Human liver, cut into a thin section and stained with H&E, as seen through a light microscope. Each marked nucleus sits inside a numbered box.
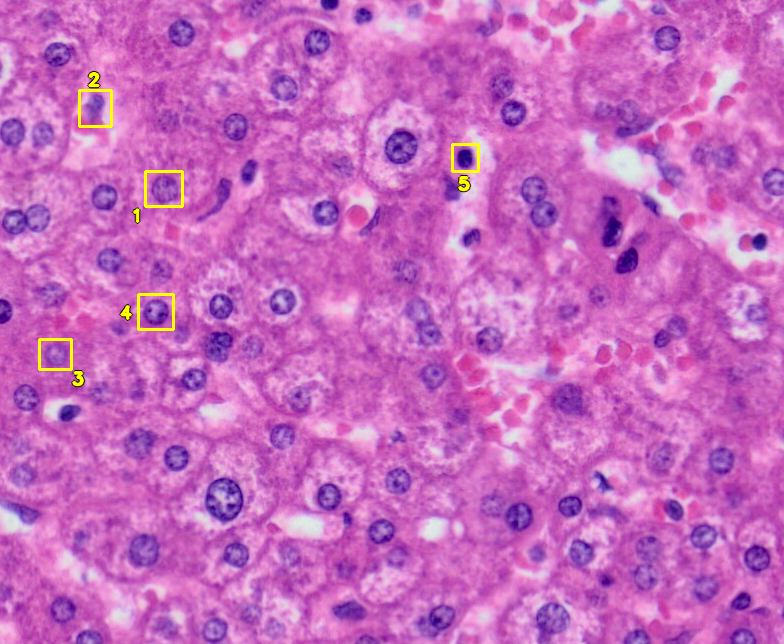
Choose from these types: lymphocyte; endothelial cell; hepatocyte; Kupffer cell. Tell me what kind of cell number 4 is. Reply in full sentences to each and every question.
The numbered cell 4 is identified here as a hepatocyte.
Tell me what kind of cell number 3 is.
The expected answer is that cell 3 is a hepatocyte.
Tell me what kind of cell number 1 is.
The cell numbered 1 represents a hepatocyte.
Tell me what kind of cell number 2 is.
Cell number 2 in this section is a Kupffer cell.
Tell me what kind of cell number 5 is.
The cell whose nucleus carries the number 5 is a lymphocyte.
